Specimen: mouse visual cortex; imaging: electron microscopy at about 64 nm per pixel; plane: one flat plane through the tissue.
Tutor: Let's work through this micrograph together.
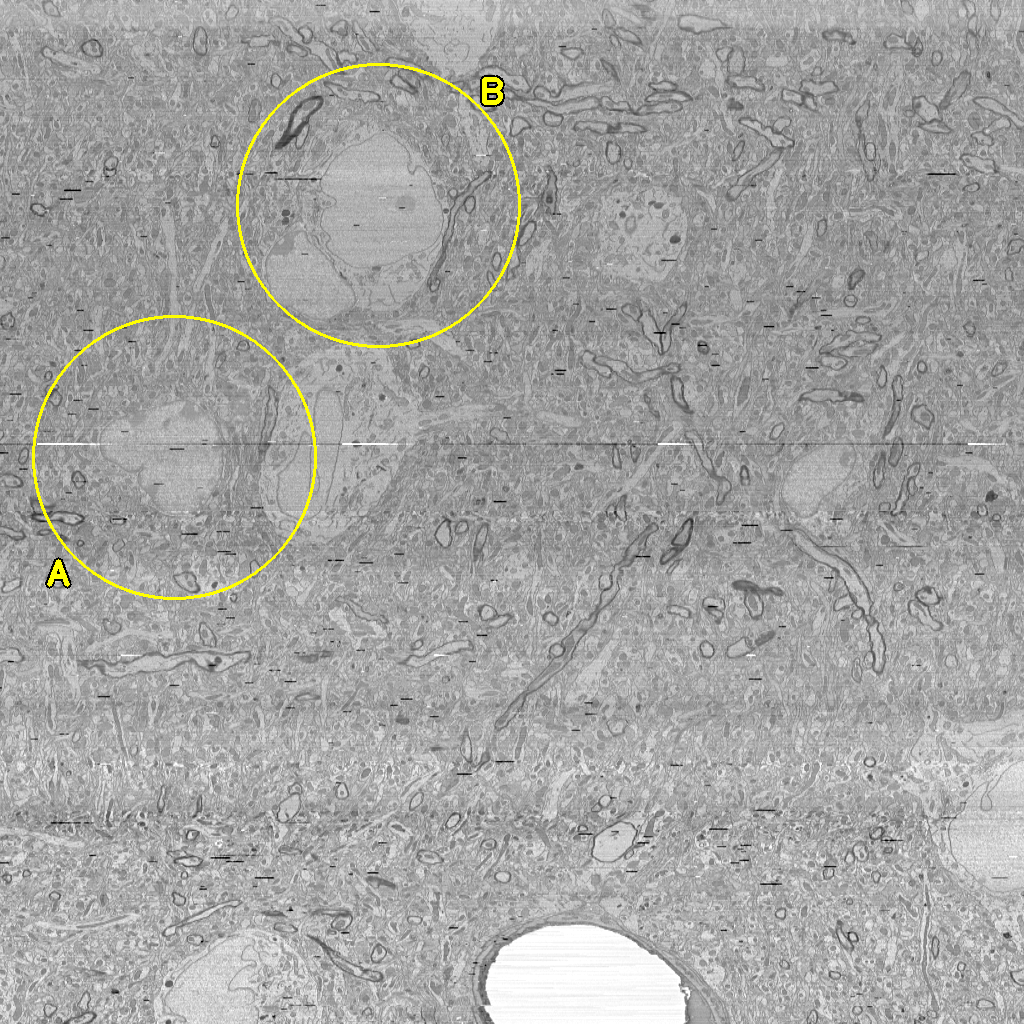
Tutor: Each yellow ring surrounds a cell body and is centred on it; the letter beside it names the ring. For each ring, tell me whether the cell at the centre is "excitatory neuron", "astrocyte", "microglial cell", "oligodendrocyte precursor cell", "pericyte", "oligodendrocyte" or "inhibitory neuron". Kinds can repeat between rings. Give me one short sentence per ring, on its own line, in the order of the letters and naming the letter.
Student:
The ring labelled A is centred on an astrocyte.
The ring labelled B is centred on an excitatory neuron.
